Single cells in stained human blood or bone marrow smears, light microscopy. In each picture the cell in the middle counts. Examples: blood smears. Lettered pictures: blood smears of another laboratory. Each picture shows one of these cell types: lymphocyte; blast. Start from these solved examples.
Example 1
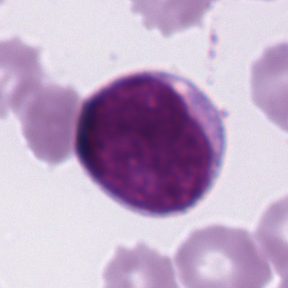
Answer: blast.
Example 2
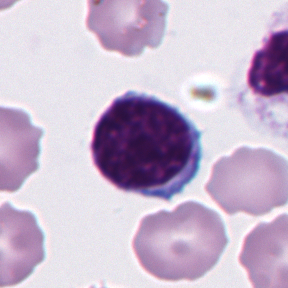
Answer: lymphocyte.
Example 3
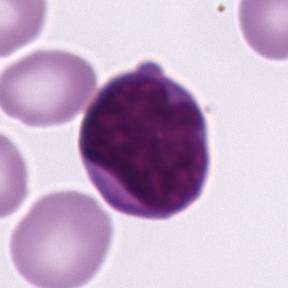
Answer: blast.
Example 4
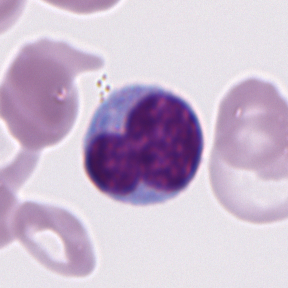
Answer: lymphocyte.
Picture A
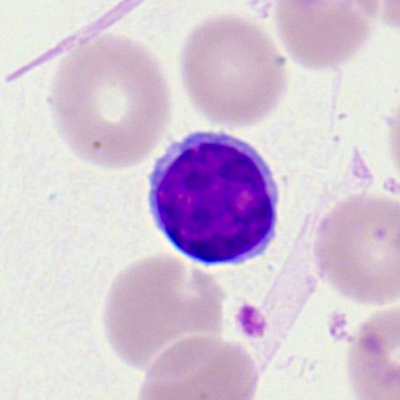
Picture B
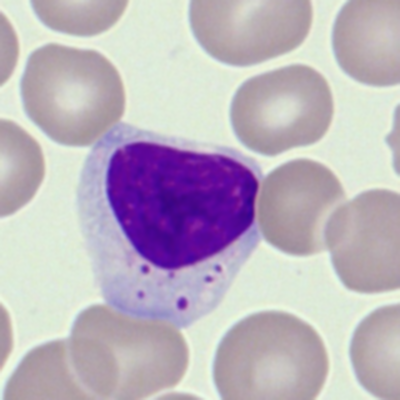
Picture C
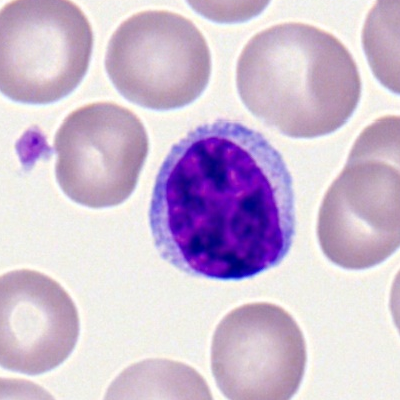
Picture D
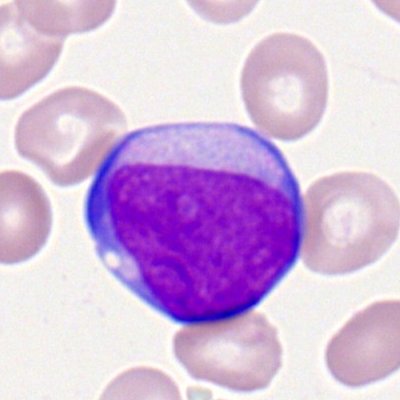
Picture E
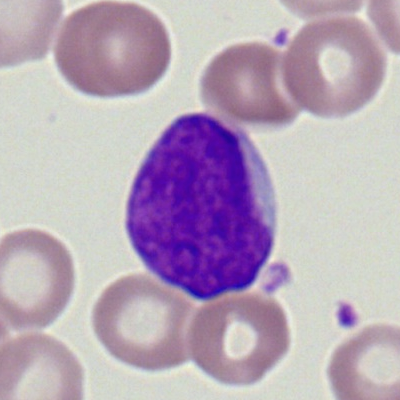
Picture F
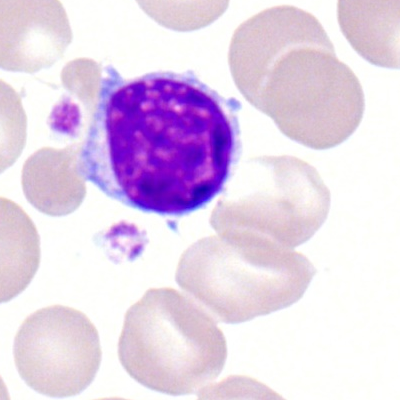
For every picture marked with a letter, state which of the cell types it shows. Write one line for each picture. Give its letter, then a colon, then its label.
A: lymphocyte.
B: lymphocyte.
C: lymphocyte.
D: blast.
E: blast.
F: lymphocyte.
